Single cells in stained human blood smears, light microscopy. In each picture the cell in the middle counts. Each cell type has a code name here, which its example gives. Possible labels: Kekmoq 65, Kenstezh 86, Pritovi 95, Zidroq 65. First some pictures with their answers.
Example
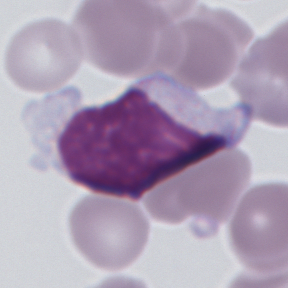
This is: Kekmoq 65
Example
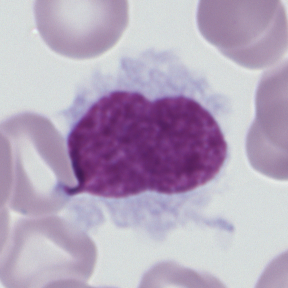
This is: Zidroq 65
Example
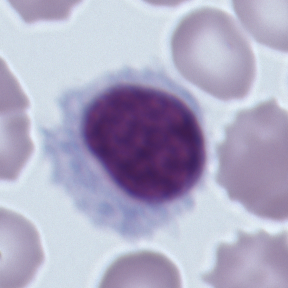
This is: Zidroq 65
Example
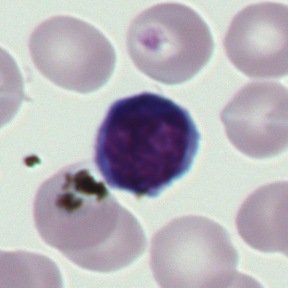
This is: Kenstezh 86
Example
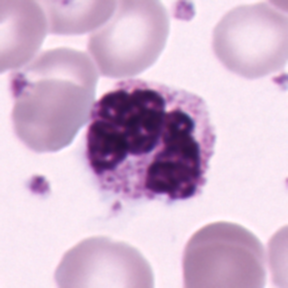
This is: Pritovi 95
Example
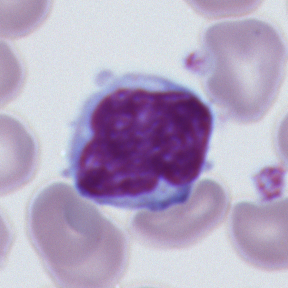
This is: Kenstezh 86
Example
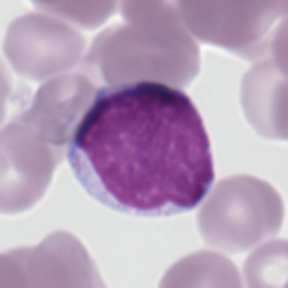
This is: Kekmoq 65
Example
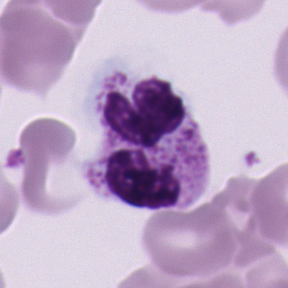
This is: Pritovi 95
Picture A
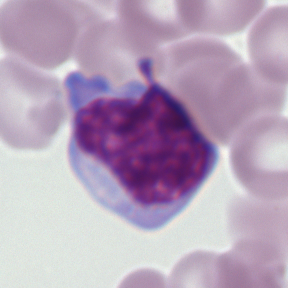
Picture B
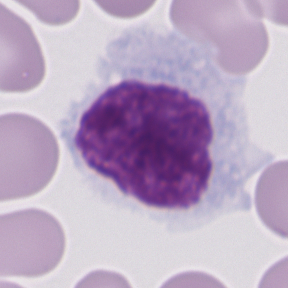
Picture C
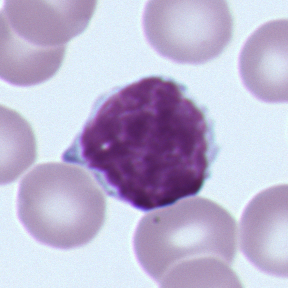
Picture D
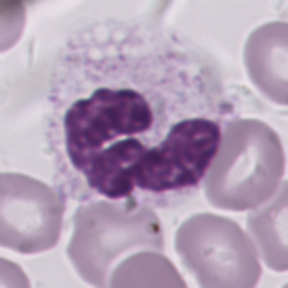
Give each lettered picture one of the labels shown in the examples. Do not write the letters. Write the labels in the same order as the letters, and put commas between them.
Kekmoq 65, Zidroq 65, Kenstezh 86, Pritovi 95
